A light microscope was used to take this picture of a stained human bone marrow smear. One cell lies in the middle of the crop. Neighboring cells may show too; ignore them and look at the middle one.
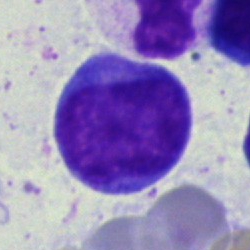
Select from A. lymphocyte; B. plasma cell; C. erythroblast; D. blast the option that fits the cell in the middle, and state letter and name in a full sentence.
The cell centered in the crop is a blast, making option D the correct pick.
